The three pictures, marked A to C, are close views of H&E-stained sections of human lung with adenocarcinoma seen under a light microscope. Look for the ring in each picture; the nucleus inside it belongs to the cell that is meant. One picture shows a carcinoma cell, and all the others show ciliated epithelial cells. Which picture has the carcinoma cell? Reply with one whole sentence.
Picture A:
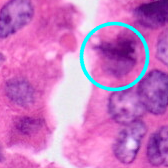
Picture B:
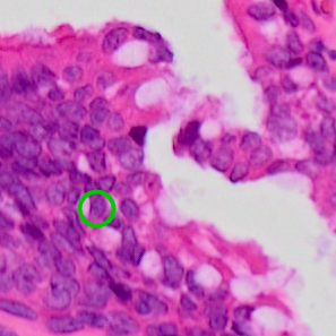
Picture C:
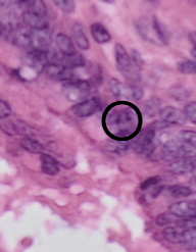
It is picture A that shows the carcinoma cell.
